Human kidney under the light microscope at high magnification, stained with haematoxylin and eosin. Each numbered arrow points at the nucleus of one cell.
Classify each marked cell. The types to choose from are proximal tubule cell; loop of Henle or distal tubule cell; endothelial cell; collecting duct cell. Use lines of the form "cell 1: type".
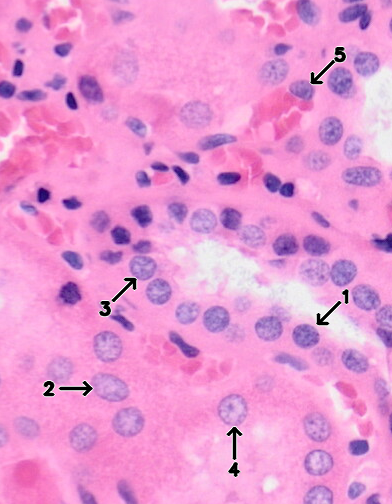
cell 1: collecting duct cell
cell 2: proximal tubule cell
cell 3: collecting duct cell
cell 4: proximal tubule cell
cell 5: endothelial cell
